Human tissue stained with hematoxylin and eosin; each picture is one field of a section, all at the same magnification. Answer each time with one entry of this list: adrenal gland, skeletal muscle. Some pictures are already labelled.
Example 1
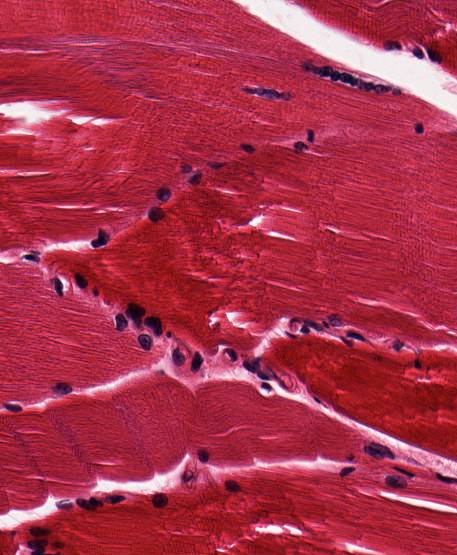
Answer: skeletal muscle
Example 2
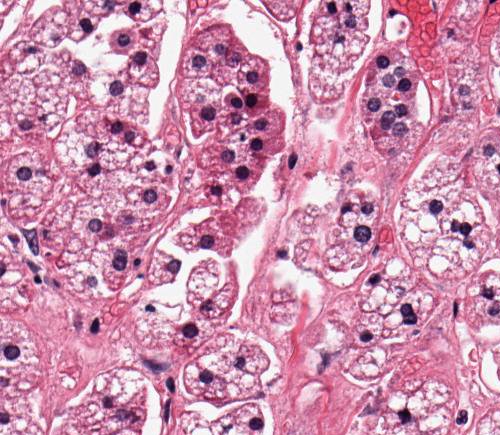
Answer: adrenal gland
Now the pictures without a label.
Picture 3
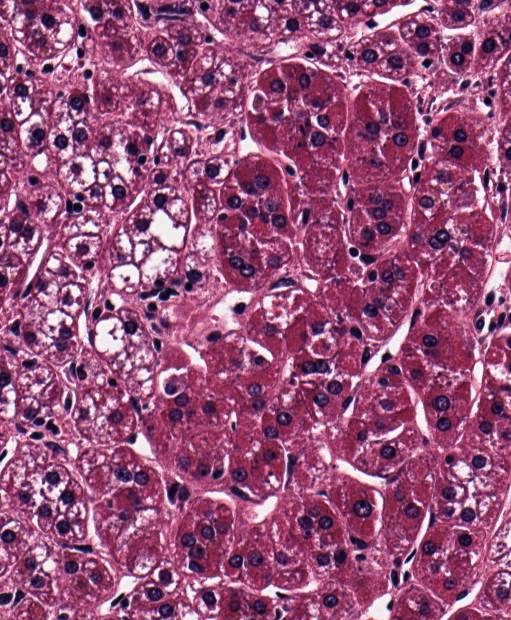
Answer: adrenal gland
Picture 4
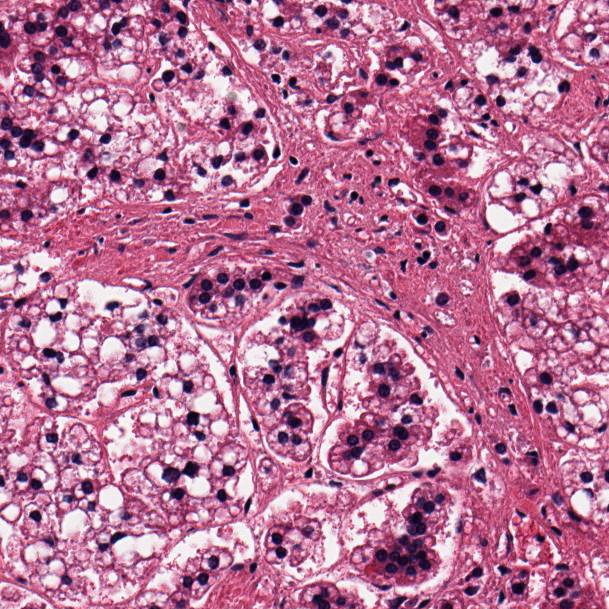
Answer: adrenal gland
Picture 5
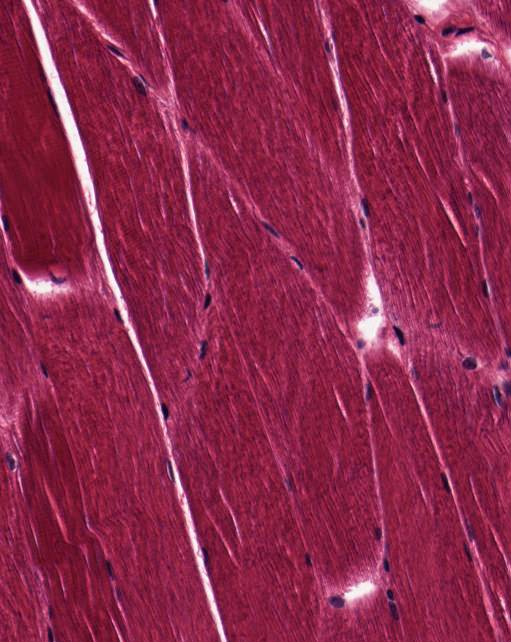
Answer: skeletal muscle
